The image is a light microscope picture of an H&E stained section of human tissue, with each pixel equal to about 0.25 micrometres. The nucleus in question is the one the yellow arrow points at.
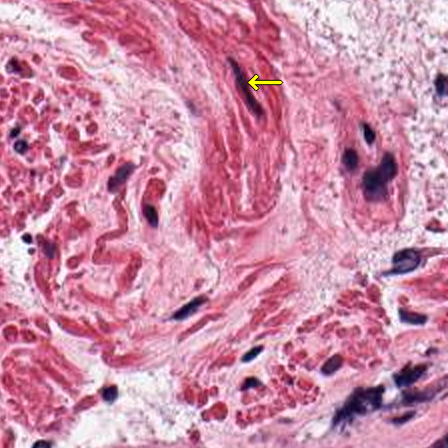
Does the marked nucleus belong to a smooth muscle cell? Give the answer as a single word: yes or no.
yes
